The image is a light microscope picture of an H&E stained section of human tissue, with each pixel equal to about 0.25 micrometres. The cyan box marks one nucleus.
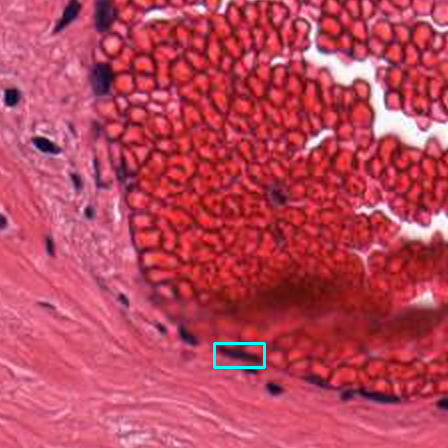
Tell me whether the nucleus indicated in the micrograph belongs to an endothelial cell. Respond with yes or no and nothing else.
yes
